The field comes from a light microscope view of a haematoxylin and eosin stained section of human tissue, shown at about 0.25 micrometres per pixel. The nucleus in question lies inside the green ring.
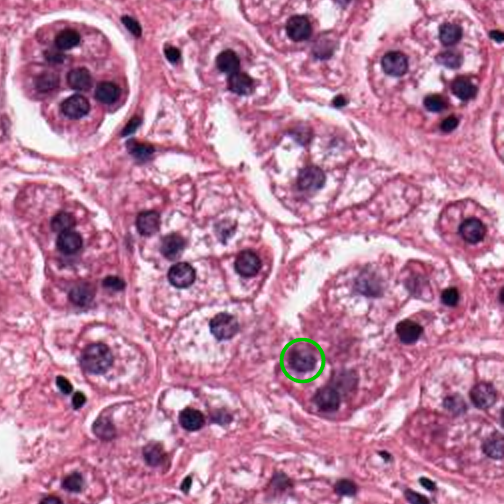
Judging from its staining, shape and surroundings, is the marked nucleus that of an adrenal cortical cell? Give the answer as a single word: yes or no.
yes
